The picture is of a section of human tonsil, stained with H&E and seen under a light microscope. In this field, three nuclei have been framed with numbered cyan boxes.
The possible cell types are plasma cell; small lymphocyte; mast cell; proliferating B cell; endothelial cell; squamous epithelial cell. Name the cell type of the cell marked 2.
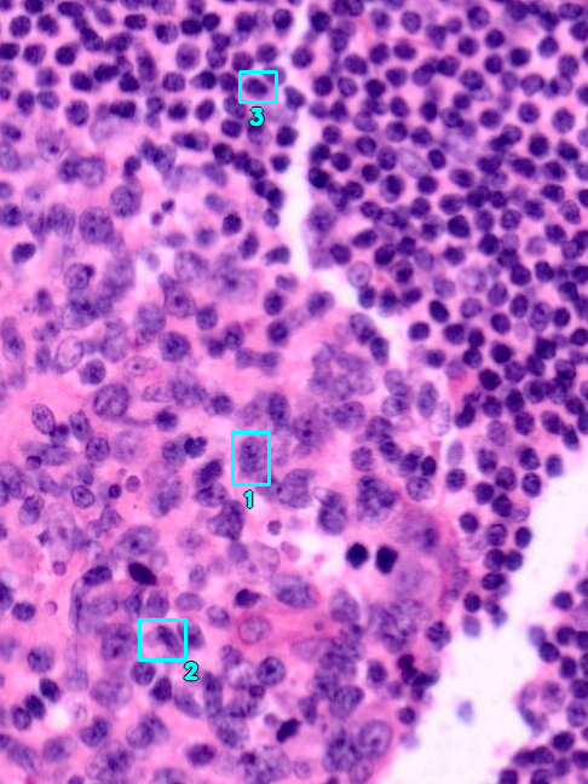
proliferating B cell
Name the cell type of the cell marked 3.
small lymphocyte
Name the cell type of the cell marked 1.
proliferating B cell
